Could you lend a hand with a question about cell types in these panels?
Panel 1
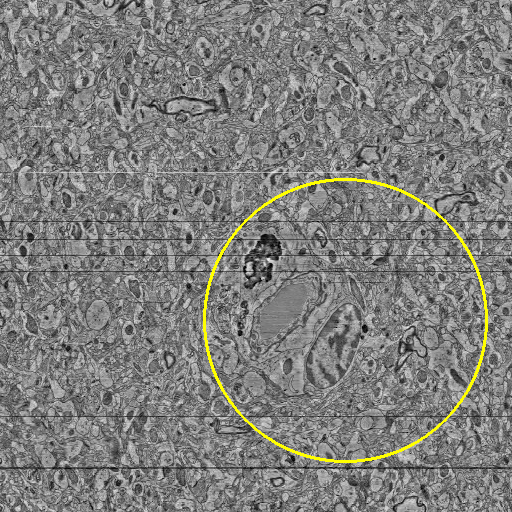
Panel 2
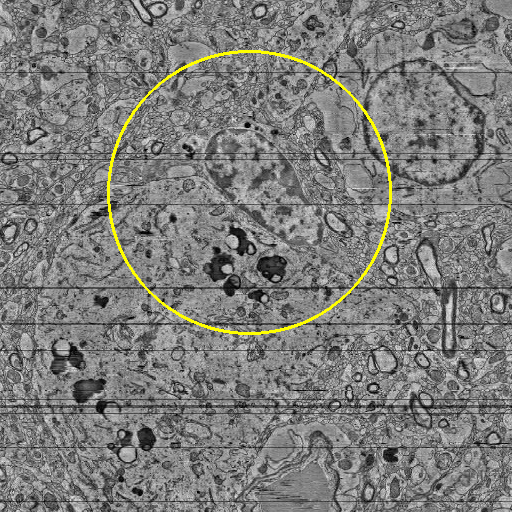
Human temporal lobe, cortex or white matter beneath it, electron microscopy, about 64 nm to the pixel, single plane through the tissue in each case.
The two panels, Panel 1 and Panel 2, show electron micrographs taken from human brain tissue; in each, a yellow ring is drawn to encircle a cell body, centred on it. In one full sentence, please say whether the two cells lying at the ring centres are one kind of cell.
Yes, the cells at the ring centres in the two panels are one kind of cell.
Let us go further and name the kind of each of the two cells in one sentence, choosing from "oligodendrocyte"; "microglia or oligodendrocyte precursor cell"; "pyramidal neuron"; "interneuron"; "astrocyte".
The cell in the first picture is a microglial cell or oligodendrocyte precursor cell, and so is the one in the second.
